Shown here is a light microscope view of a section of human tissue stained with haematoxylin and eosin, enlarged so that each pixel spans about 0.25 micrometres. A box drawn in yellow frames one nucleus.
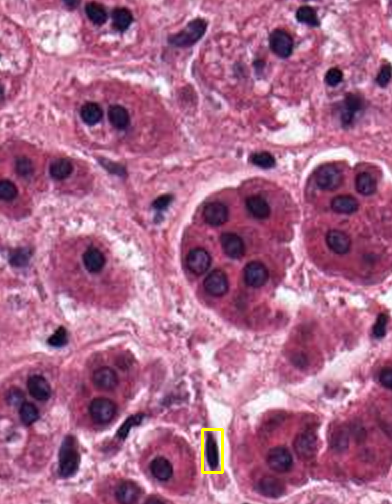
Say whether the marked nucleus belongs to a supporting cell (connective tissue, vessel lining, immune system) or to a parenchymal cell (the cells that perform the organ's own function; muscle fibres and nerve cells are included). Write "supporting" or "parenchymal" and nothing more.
supporting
